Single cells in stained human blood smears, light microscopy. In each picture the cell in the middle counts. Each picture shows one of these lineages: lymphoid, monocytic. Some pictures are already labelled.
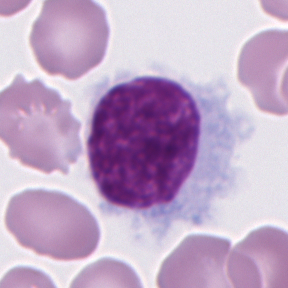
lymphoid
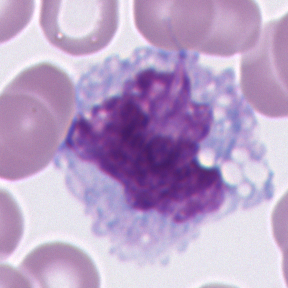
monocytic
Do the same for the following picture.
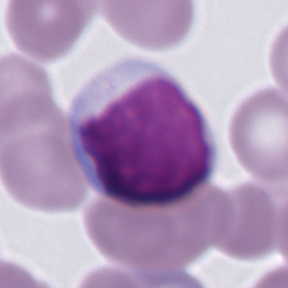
lymphoid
